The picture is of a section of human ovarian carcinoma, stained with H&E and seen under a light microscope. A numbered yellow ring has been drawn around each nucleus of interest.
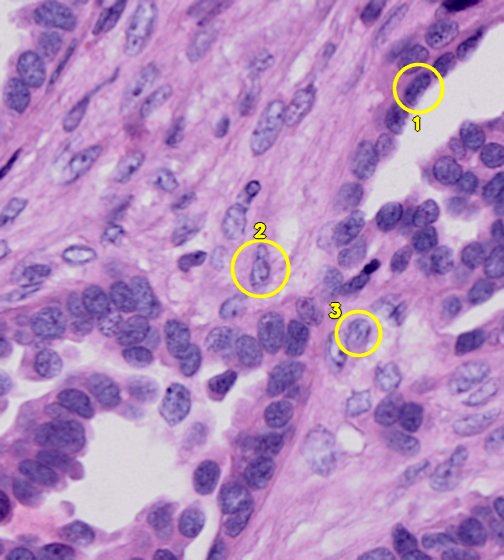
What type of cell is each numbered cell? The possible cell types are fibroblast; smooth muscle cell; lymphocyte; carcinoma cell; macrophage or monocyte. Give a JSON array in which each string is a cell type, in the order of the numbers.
["carcinoma cell", "fibroblast", "fibroblast"]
